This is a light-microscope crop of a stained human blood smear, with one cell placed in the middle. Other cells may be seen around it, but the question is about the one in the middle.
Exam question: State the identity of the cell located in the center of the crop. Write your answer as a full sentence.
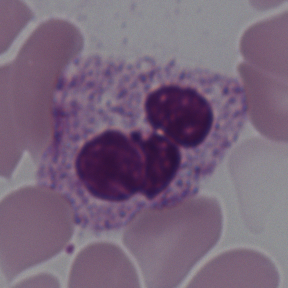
The cell that lies at the centre of the crop is a segmented neutrophil.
